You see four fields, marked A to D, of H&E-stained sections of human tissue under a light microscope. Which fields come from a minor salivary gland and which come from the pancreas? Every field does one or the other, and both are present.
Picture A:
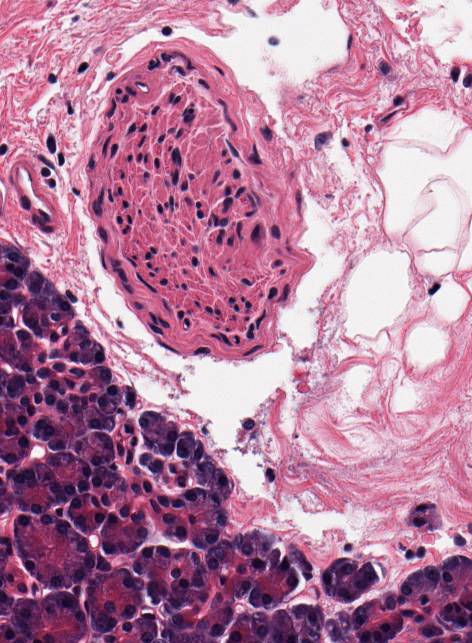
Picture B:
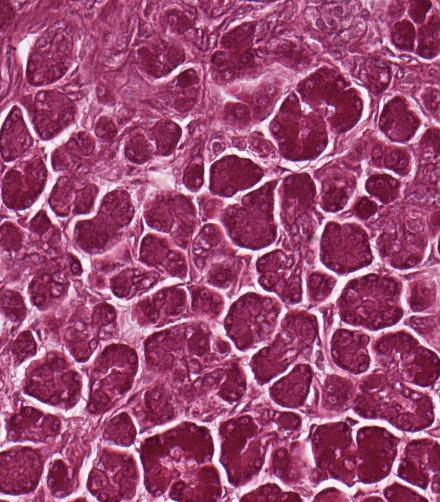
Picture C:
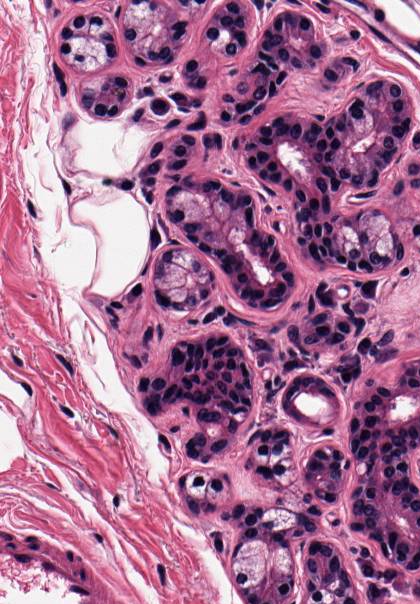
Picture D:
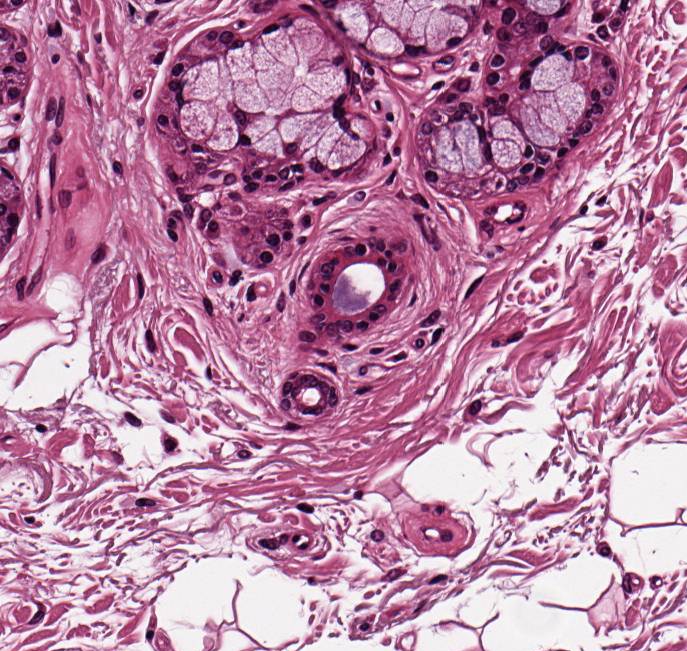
A: pancreas
B: pancreas
C: minor salivary gland
D: minor salivary gland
